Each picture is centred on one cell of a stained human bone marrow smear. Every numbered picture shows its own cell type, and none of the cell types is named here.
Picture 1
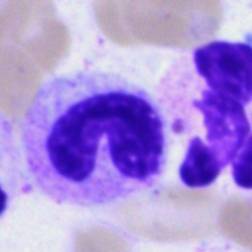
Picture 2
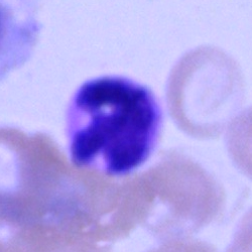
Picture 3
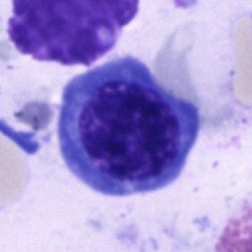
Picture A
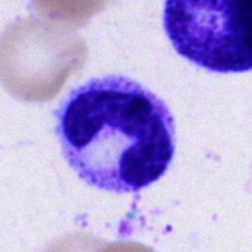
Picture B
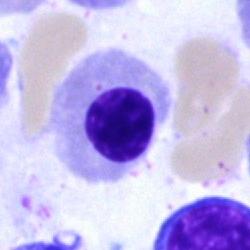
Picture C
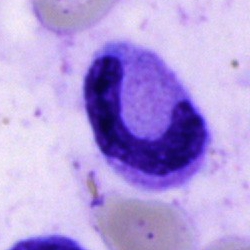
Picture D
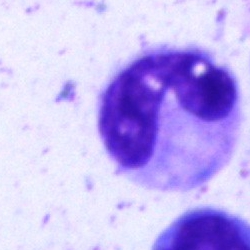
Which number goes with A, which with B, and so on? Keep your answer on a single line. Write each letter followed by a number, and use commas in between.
A 1, B 3, C 1, D 1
